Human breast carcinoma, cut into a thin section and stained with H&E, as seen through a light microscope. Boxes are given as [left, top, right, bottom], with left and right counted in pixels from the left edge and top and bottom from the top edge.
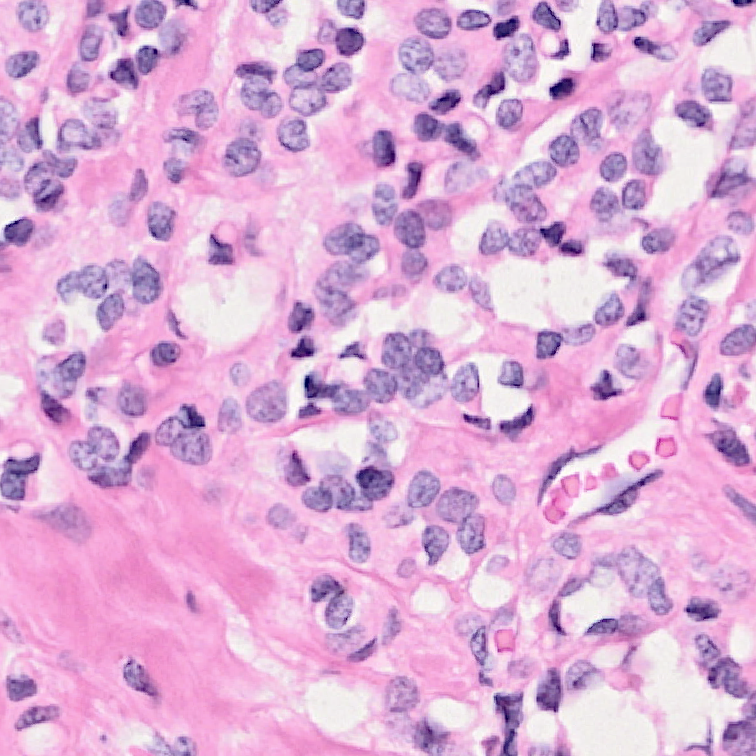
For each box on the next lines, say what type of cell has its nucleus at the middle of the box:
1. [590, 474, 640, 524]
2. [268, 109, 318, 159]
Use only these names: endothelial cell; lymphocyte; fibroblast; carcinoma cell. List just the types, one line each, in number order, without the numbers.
endothelial cell
carcinoma cell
